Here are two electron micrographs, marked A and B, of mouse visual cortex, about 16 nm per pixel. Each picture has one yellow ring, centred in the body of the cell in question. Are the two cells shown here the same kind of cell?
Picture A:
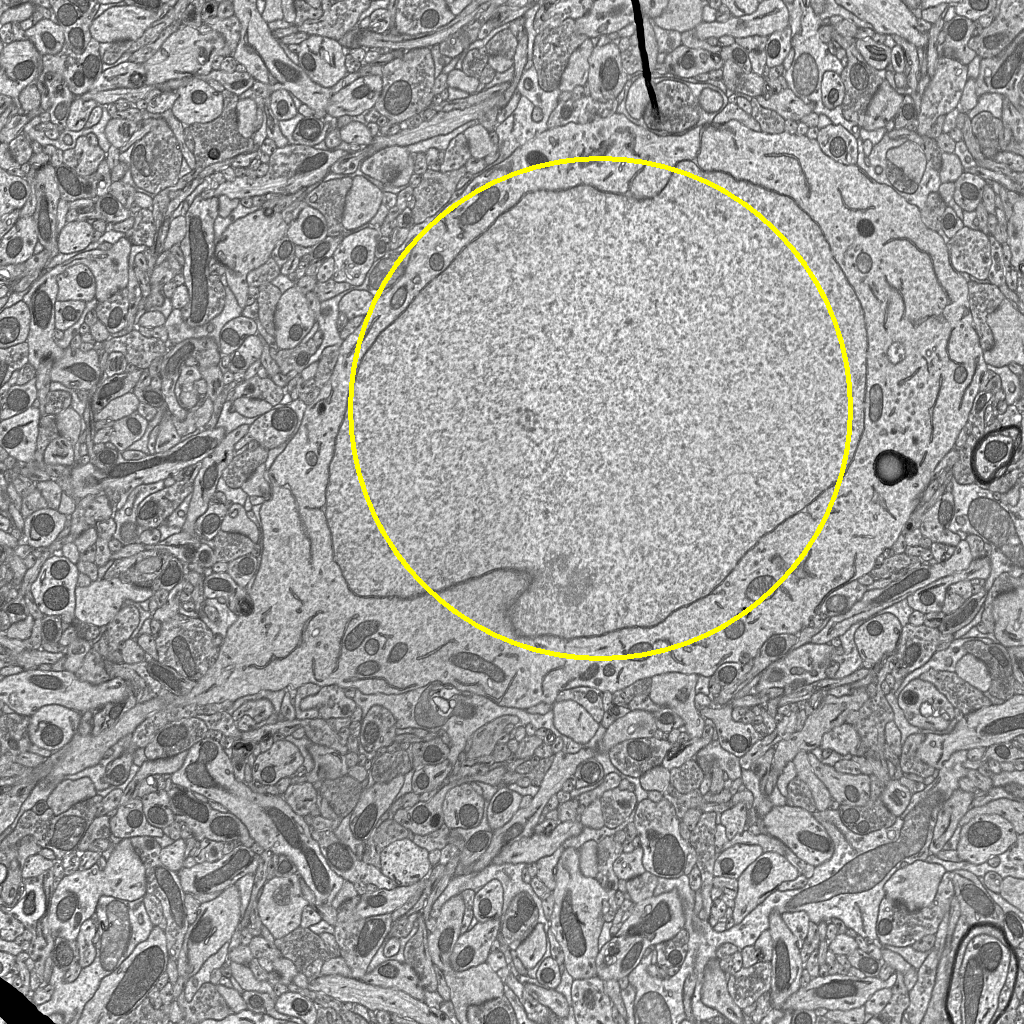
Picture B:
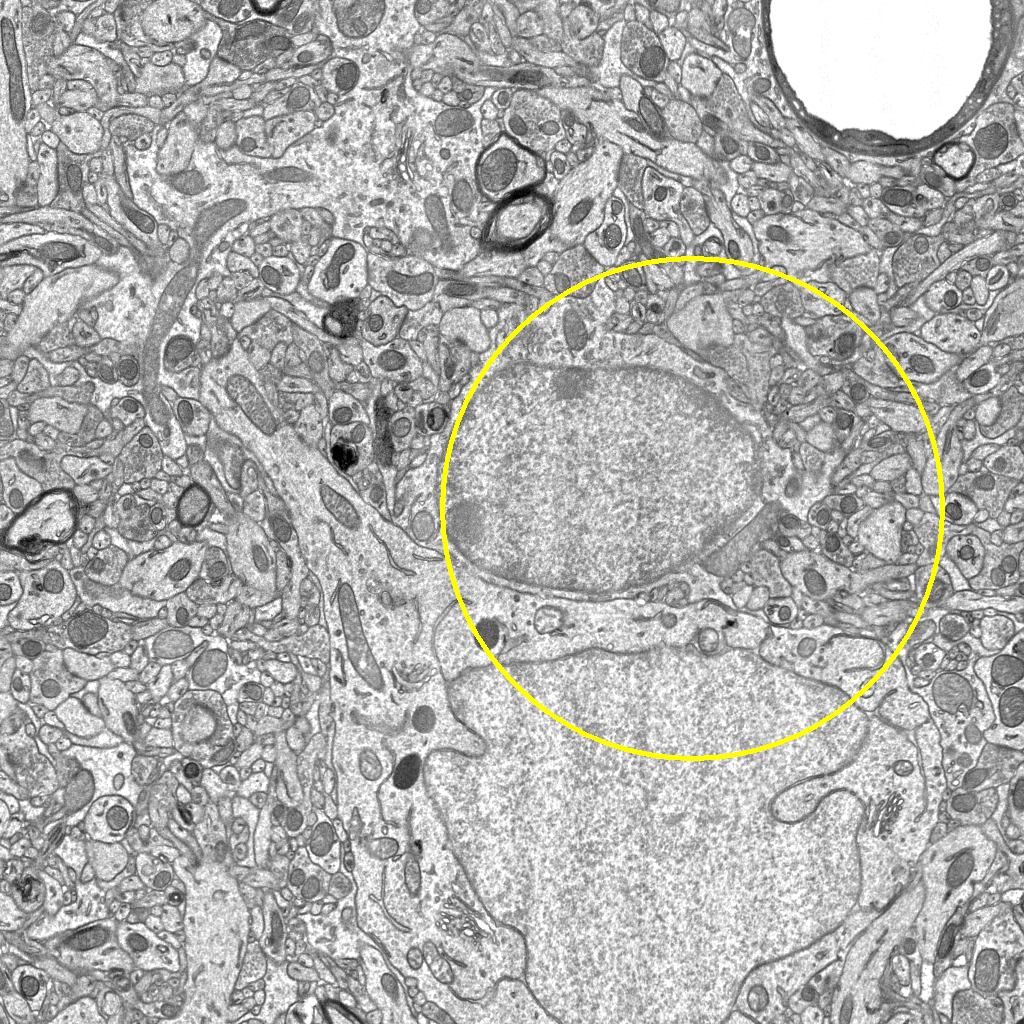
No; the cell in picture A is an excitatory neuron, while the one in picture B is an astrocyte.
